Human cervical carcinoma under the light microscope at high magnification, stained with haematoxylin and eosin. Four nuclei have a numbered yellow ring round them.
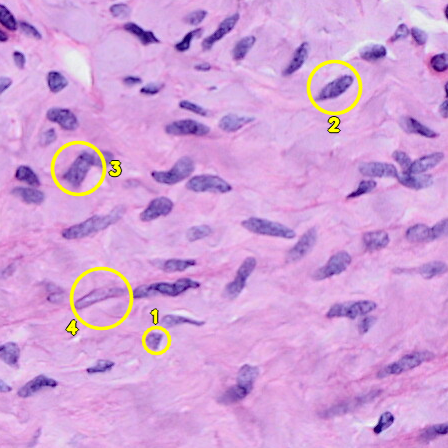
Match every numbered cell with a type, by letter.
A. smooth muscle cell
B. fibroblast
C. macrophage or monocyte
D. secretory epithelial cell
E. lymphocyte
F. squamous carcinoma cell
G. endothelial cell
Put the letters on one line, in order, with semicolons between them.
B; B; B; A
